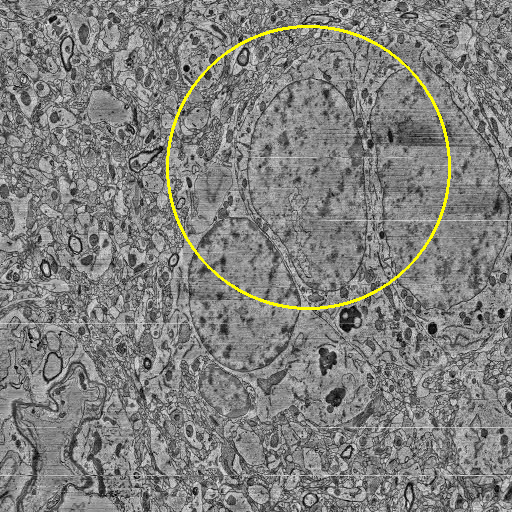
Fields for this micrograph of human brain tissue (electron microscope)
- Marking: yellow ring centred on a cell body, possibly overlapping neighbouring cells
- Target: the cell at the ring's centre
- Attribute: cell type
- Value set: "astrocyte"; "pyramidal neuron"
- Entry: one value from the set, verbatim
pyramidal neuron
